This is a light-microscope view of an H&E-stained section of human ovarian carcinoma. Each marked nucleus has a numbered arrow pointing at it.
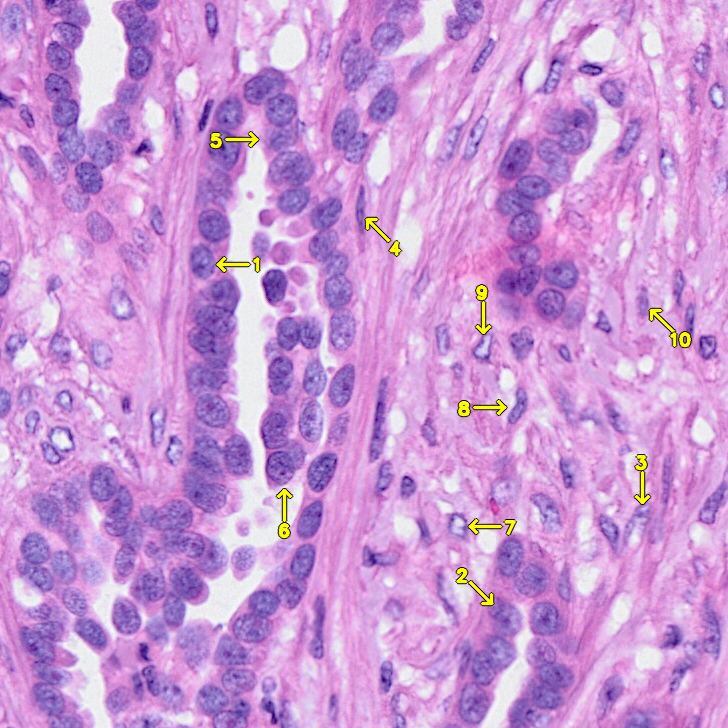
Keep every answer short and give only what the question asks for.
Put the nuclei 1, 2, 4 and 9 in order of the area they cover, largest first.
2, 1, 9, 4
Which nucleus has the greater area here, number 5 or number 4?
5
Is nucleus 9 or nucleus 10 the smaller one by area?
10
